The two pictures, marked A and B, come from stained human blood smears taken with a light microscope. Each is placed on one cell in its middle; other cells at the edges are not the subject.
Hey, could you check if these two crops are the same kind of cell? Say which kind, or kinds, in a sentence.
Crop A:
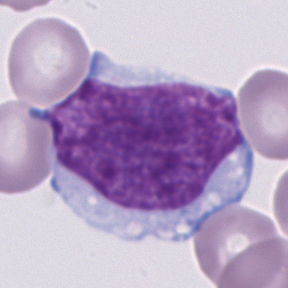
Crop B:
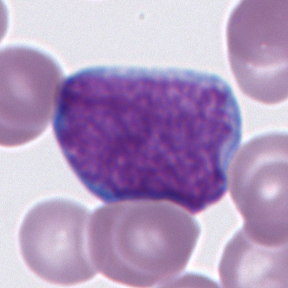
Yes, as an answer for this item, both crops show myeloblasts.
